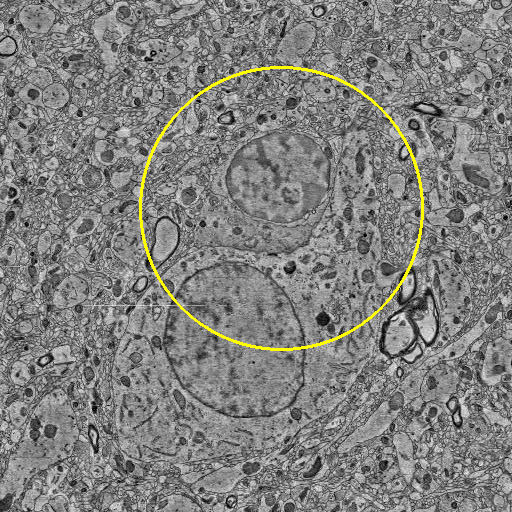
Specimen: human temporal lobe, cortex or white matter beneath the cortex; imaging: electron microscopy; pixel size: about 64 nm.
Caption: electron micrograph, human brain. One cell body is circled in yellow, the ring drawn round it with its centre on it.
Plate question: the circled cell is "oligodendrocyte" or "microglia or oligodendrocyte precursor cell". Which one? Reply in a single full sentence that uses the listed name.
The yellow ring on the plate is centred on an oligodendrocyte, going by the listed names.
